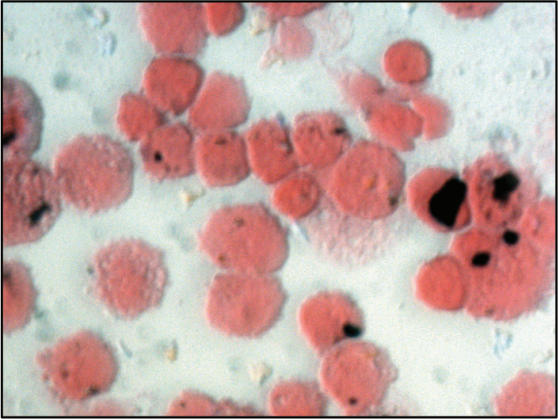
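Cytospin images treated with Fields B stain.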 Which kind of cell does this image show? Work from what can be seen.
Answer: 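Large round cells with abundant pink-stained cytoplasm lie scattered and in clusters. Several cells contain black intracytoplasmic inclusions. So: macrophage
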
